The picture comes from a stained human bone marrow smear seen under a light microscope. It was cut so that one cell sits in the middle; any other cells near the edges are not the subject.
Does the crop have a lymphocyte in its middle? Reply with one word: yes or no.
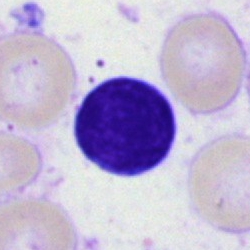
yes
